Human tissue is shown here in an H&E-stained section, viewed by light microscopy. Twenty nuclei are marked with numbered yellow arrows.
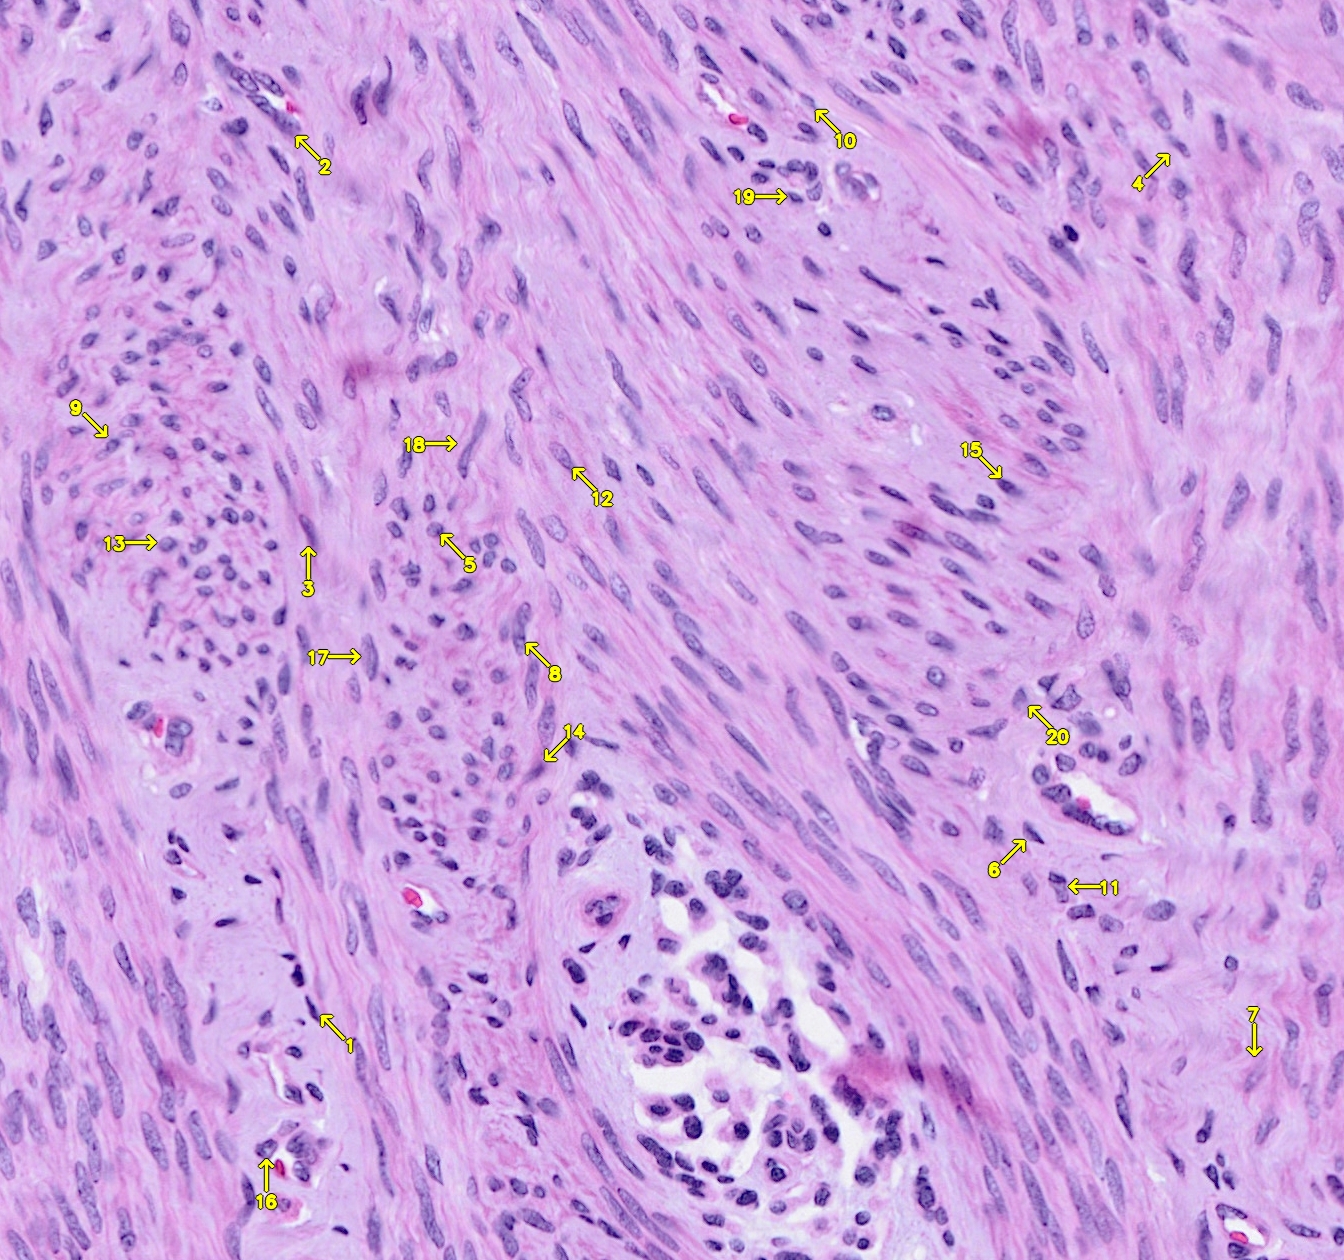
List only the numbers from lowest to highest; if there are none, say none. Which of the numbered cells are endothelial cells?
2, 16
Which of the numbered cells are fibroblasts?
1, 4, 6, 10, 11, 15, 17, 19, 20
